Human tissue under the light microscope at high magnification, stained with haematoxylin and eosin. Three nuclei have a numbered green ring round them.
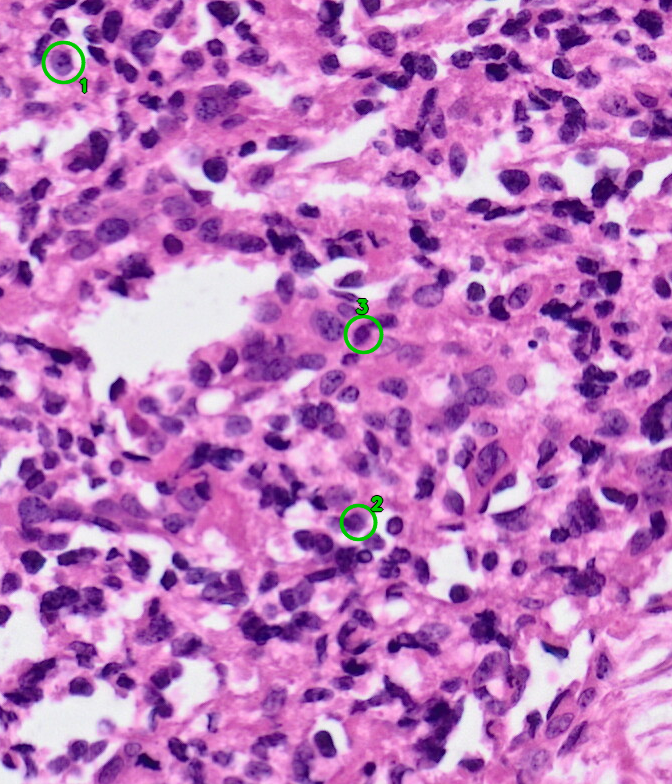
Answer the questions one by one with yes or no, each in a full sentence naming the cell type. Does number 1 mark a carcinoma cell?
No, cell 1 should be read as a macrophage or monocyte instead of a carcinoma cell.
